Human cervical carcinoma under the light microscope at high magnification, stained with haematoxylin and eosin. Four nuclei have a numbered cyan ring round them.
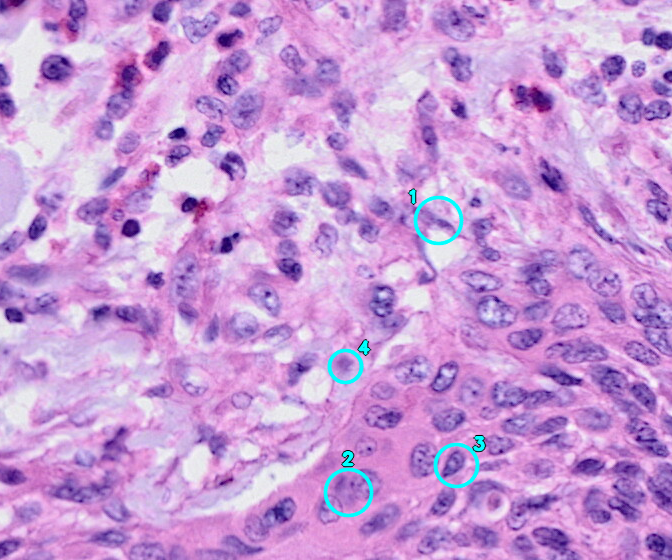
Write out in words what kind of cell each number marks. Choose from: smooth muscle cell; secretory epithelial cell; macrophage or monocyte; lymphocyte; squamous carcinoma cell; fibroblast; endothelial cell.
Cells 1 and 4 are fibroblasts. Cells 2 and 3 are squamous carcinoma cells.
